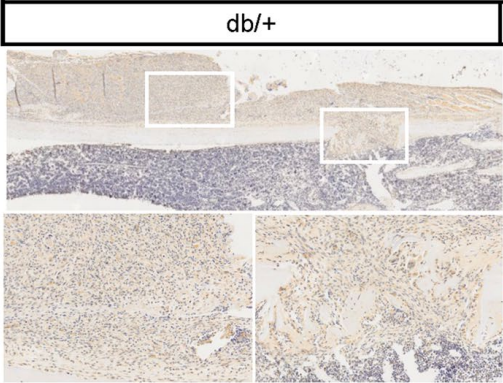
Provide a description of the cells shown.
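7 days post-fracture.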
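This is a longitudinal section through healing bone, with tissue laid out in layers. At the bottom lies a broad band packed with small, dark blue, round nuclei, the crowded cells of the marrow space. Above it runs a pale, thin, almost cell-free band of bone. Over that spreads a thick layer of healing tissue in which many spindle-shaped and oval cells sit loosely in a faintly stained matrix. The boxed areas, enlarged below, show these cells more closely. Their nuclei are blue, and only a light, diffuse tan tint lies over the tissue.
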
